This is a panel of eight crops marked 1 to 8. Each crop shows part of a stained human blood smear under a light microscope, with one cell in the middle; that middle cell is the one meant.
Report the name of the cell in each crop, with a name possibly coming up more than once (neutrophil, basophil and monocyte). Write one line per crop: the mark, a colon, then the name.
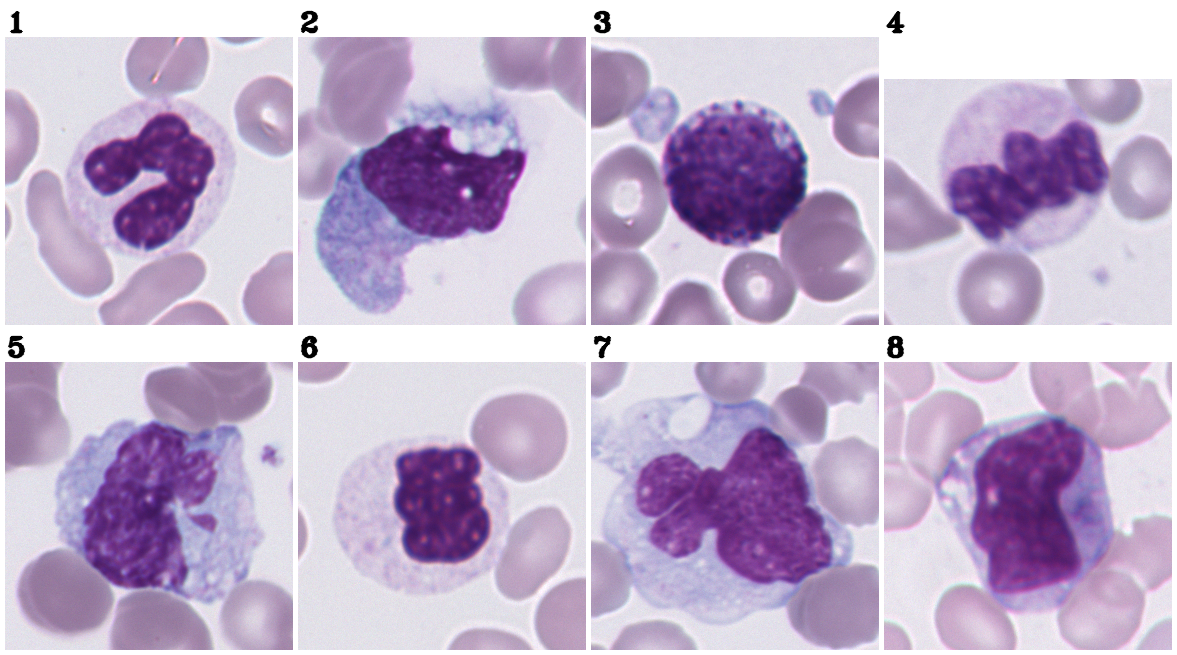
1: neutrophil
2: monocyte
3: basophil
4: neutrophil
5: monocyte
6: neutrophil
7: monocyte
8: monocyte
